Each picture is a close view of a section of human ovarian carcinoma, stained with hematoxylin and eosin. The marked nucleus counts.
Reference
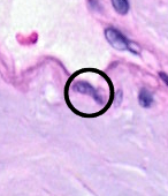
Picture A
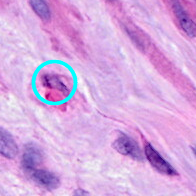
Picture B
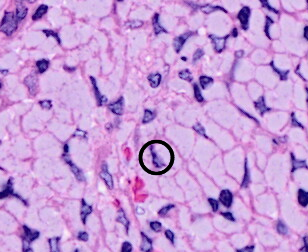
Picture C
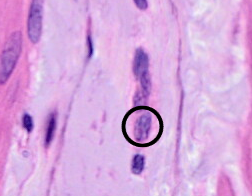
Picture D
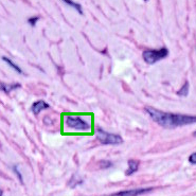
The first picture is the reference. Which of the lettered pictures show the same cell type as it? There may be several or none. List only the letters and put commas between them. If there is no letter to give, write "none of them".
A, C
